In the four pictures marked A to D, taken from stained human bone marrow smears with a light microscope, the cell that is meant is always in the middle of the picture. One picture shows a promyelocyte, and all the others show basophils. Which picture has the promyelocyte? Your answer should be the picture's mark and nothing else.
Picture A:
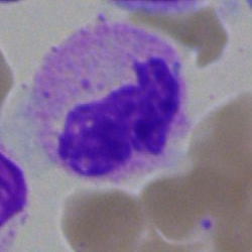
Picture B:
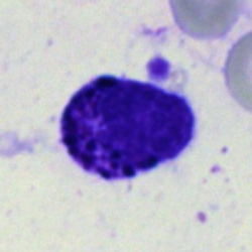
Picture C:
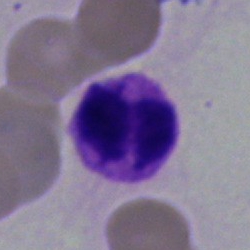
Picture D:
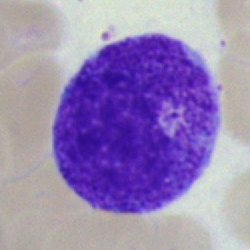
D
